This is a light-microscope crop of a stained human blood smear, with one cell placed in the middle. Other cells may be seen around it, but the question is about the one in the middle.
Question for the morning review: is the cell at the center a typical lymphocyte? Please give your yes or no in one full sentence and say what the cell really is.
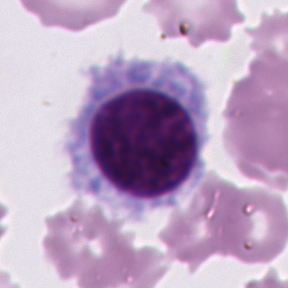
No, the centre of the crop is taken up by a hairy cell, not a typical lymphocyte.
